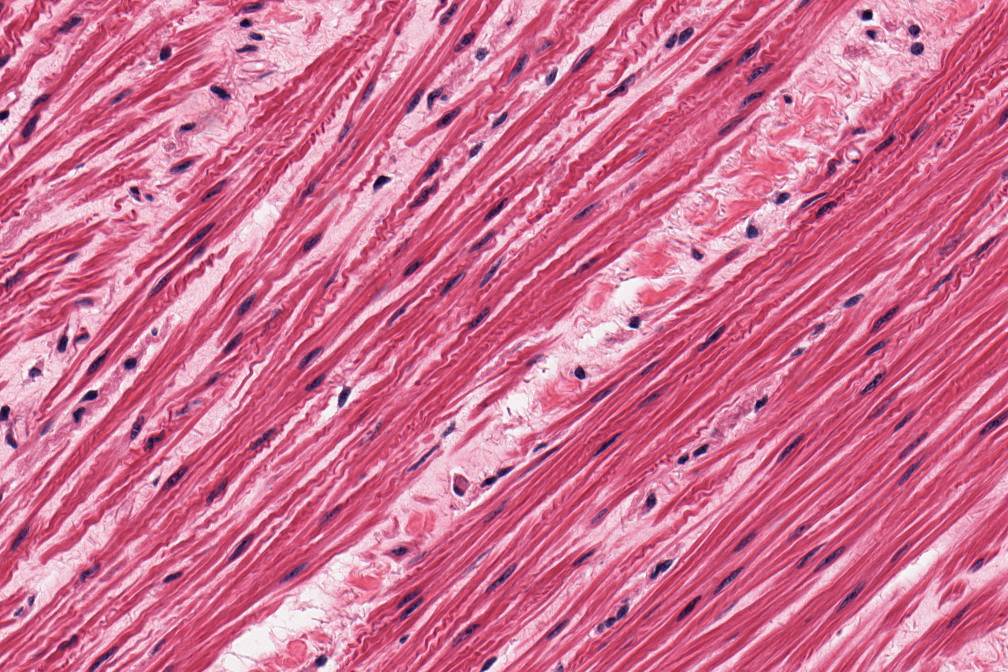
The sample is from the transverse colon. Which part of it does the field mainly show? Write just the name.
smooth muscle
